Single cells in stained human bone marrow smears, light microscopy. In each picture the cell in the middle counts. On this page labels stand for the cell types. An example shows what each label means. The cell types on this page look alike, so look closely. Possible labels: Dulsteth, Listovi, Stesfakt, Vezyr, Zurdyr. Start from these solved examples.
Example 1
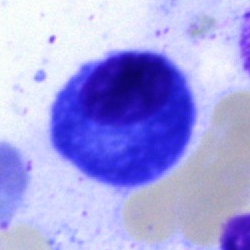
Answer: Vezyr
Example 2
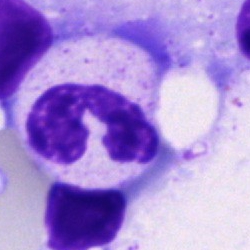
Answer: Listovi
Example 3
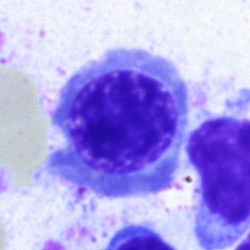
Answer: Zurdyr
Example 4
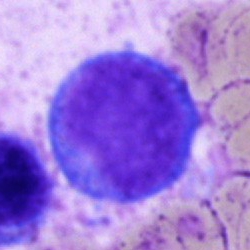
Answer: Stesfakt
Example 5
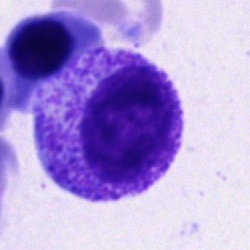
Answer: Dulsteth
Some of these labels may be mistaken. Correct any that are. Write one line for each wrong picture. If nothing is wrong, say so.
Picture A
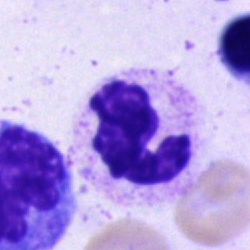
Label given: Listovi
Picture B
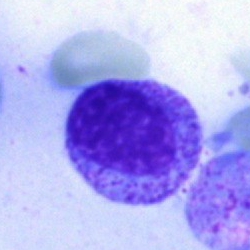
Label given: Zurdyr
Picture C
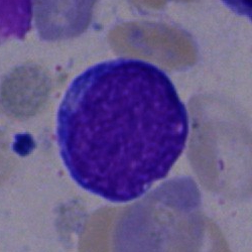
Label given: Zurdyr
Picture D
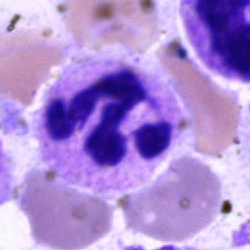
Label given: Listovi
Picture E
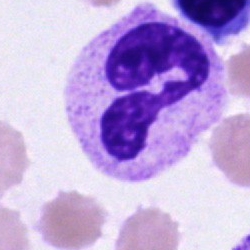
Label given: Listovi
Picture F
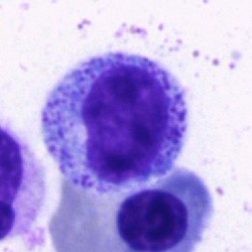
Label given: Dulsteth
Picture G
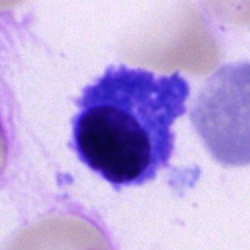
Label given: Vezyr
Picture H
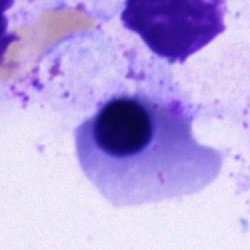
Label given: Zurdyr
B: not Zurdyr but Dulsteth
C: not Zurdyr but Stesfakt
